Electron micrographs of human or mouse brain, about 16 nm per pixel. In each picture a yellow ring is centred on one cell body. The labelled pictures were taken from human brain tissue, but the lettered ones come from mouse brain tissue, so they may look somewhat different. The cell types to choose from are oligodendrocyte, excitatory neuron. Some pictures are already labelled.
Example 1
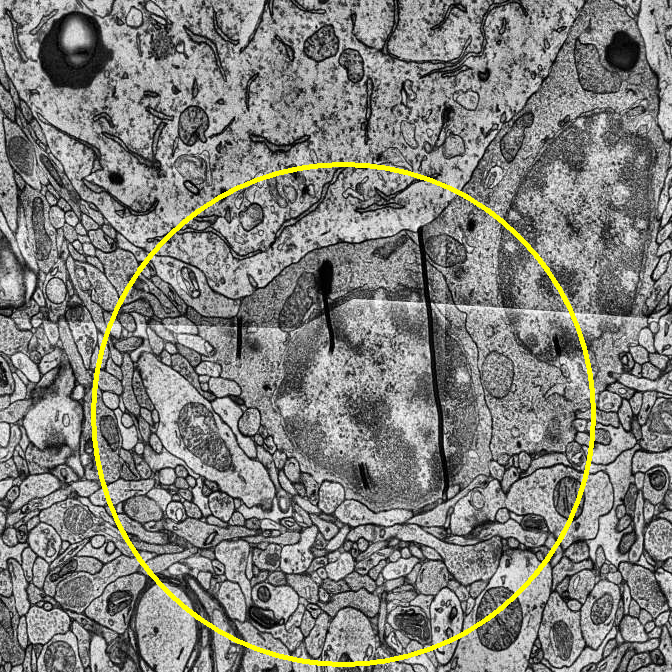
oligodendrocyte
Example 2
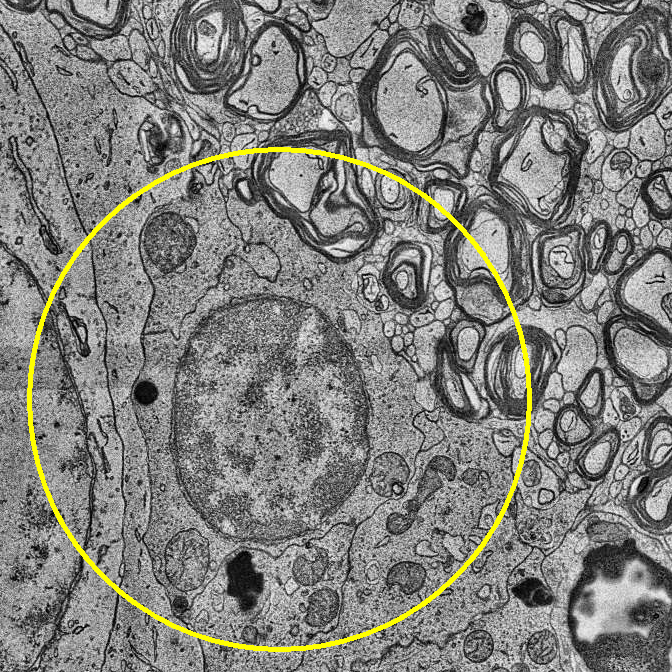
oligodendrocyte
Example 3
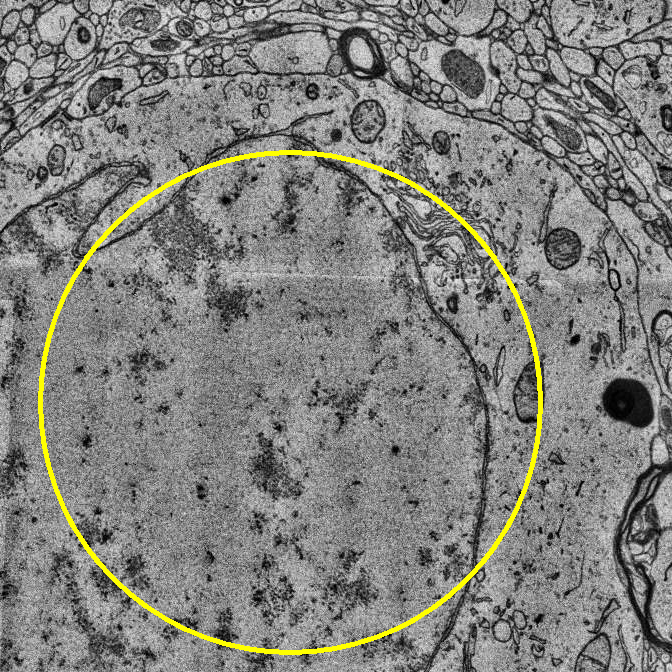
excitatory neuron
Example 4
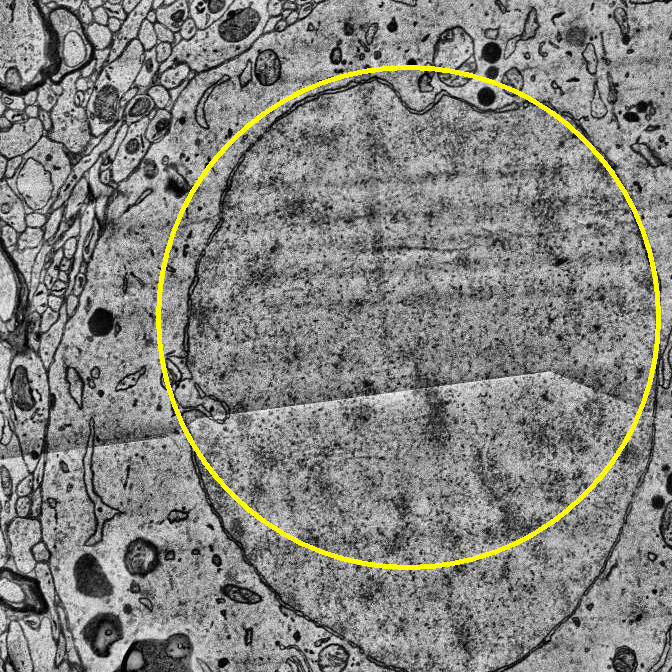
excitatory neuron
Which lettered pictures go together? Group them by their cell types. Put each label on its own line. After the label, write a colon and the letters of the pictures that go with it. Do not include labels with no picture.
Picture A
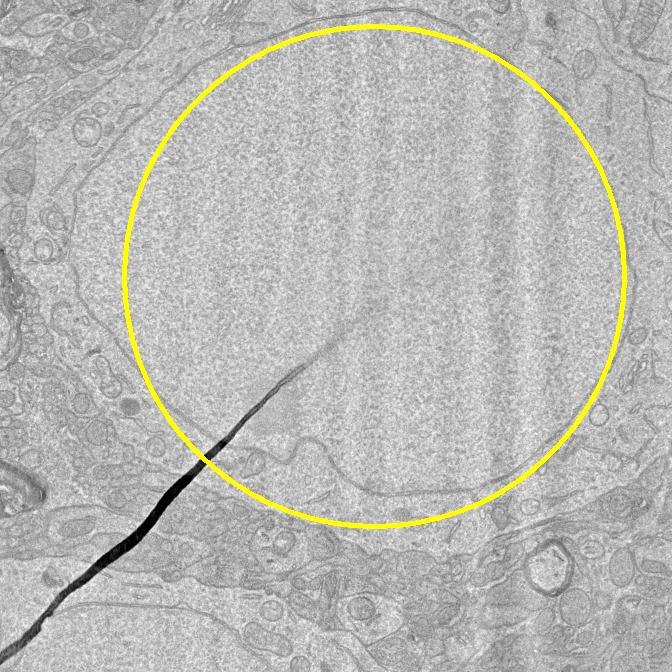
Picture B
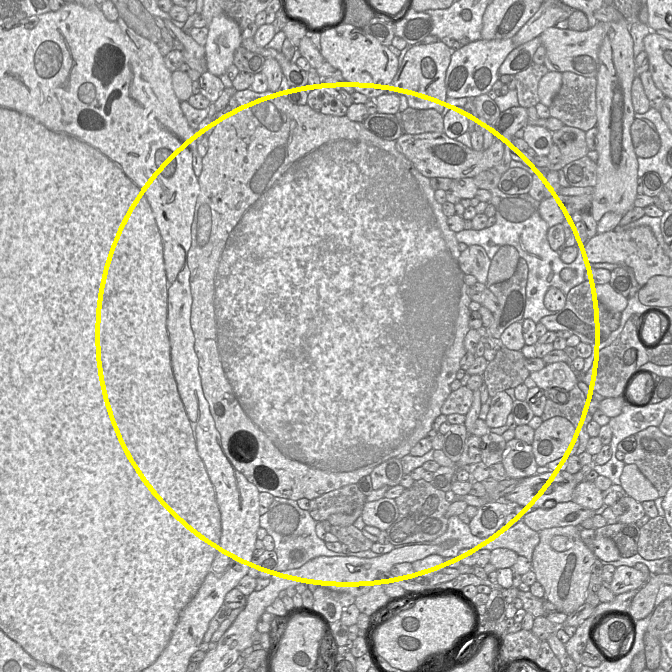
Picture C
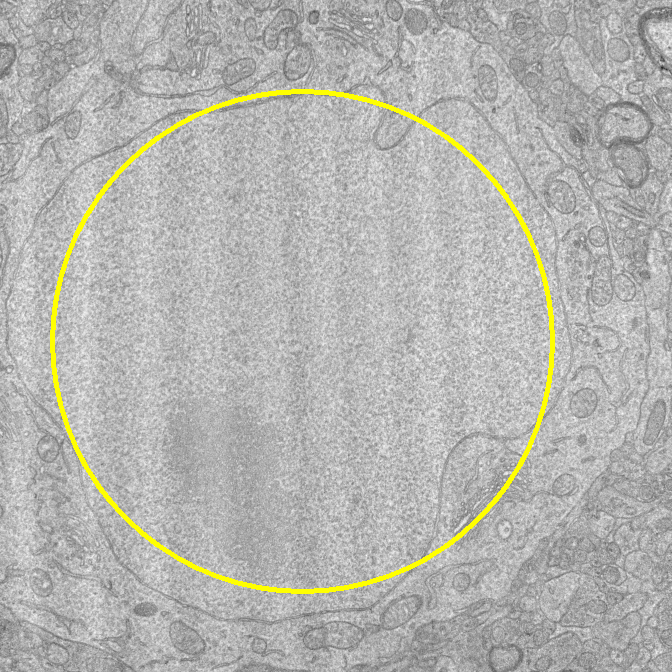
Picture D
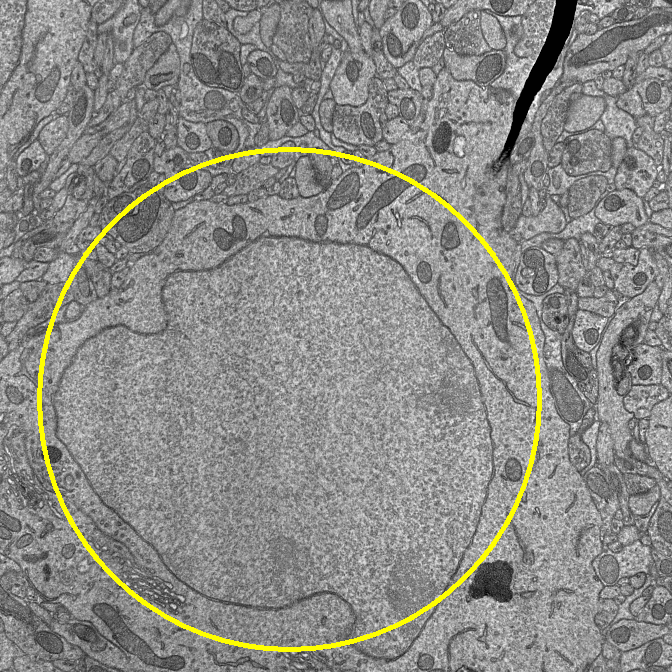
oligodendrocyte: B
excitatory neuron: A, C, D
